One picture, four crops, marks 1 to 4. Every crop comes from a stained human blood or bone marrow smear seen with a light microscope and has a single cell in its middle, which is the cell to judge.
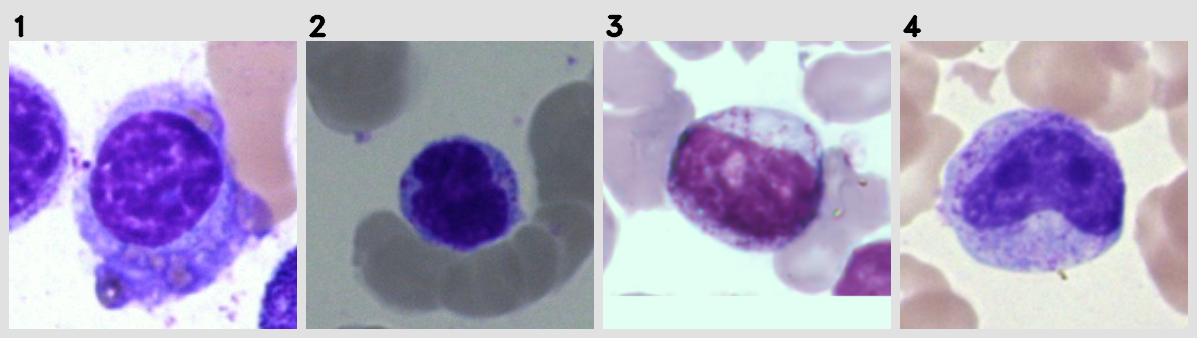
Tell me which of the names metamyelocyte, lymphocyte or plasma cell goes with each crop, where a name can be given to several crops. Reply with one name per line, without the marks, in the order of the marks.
plasma cell
lymphocyte
metamyelocyte
metamyelocyte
